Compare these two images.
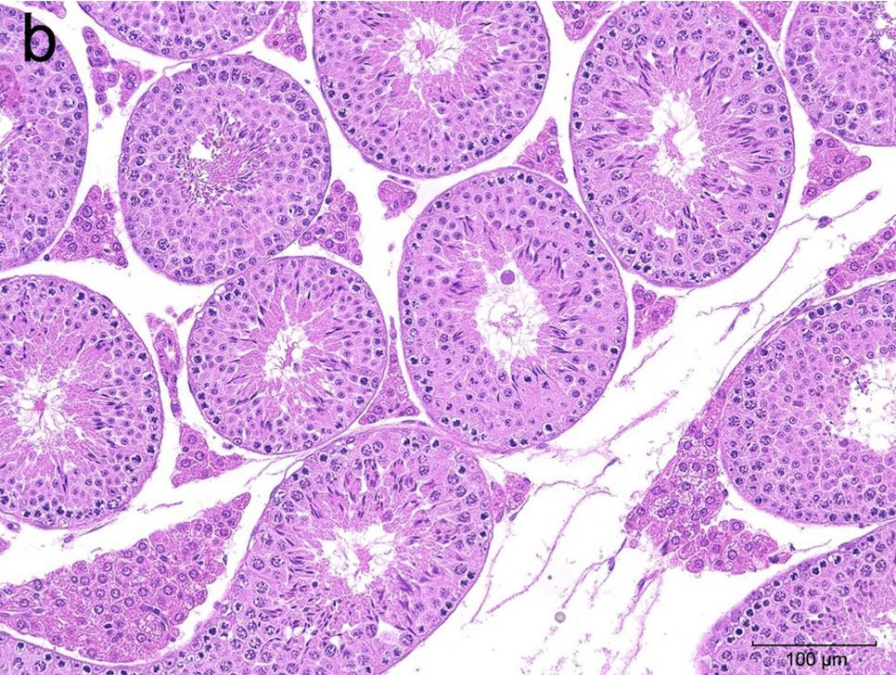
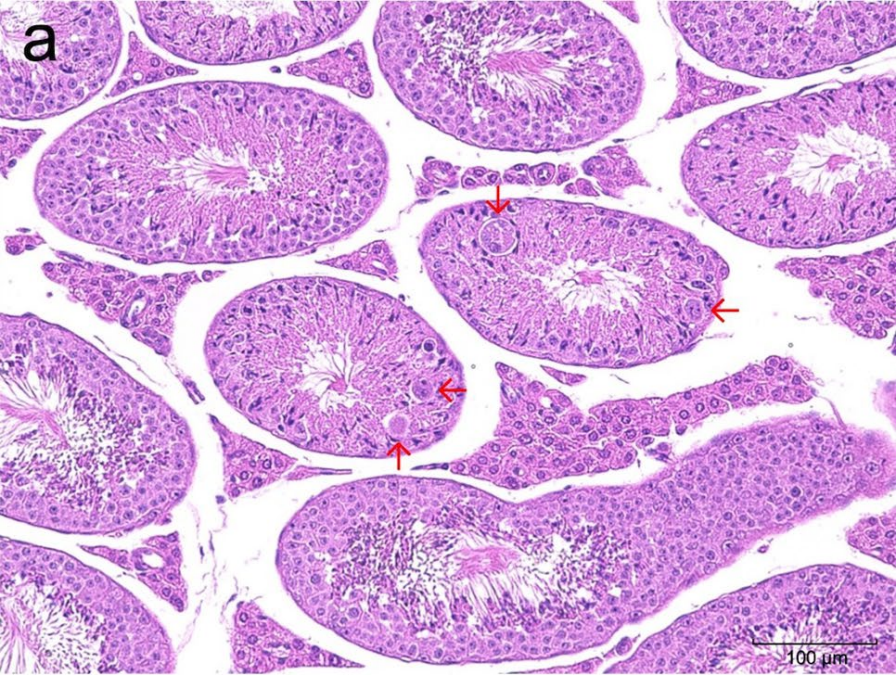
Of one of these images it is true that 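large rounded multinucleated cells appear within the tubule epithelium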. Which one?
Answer: the second image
